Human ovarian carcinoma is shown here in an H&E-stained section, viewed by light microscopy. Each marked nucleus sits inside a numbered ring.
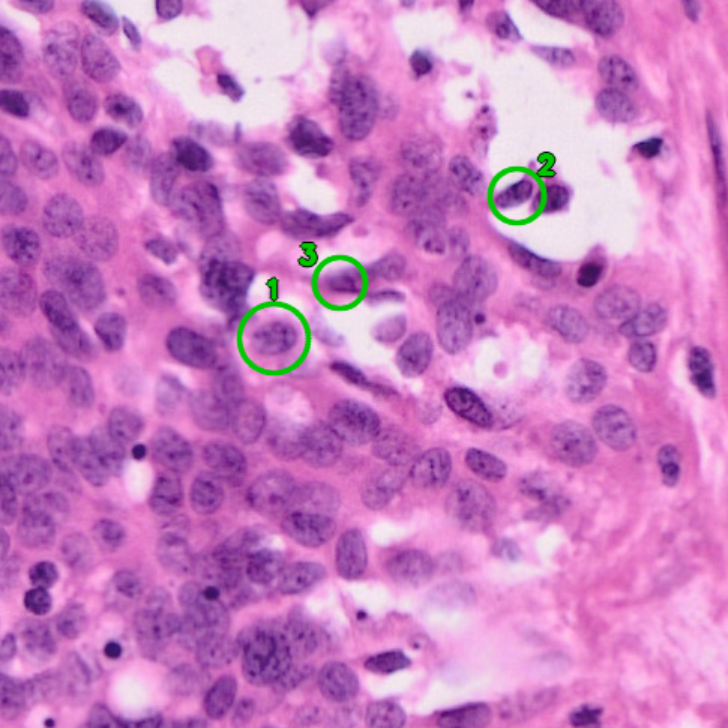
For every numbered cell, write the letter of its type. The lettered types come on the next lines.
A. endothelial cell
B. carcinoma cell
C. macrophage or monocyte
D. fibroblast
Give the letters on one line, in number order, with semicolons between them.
C; B; B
